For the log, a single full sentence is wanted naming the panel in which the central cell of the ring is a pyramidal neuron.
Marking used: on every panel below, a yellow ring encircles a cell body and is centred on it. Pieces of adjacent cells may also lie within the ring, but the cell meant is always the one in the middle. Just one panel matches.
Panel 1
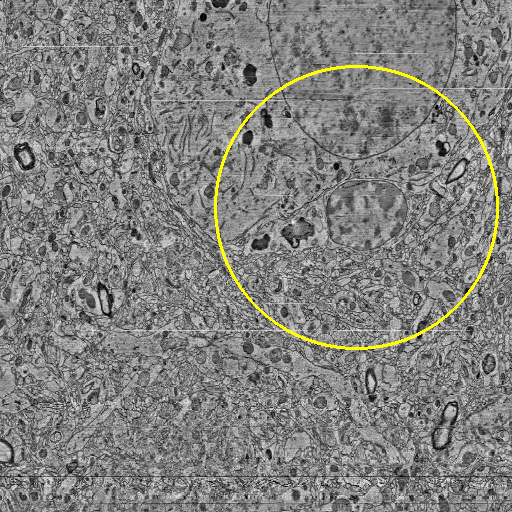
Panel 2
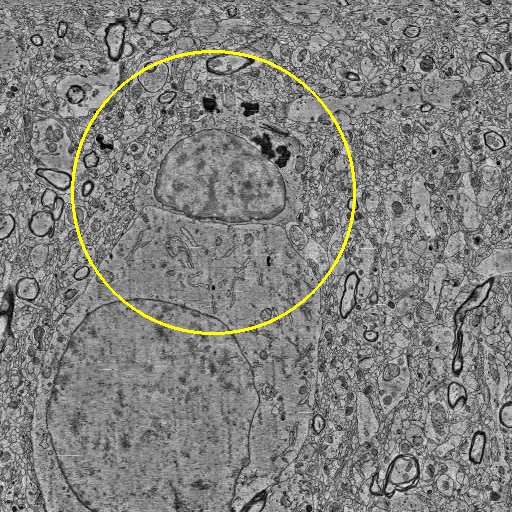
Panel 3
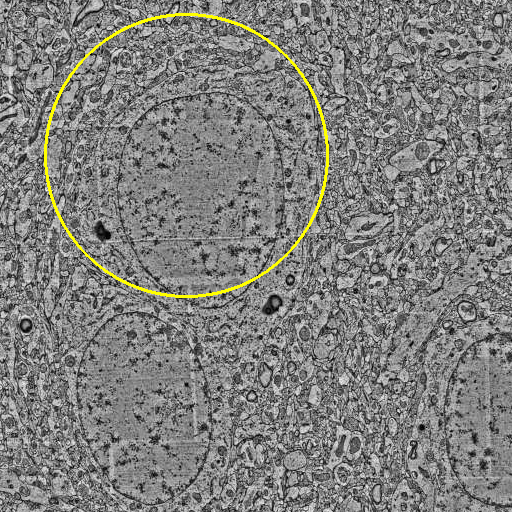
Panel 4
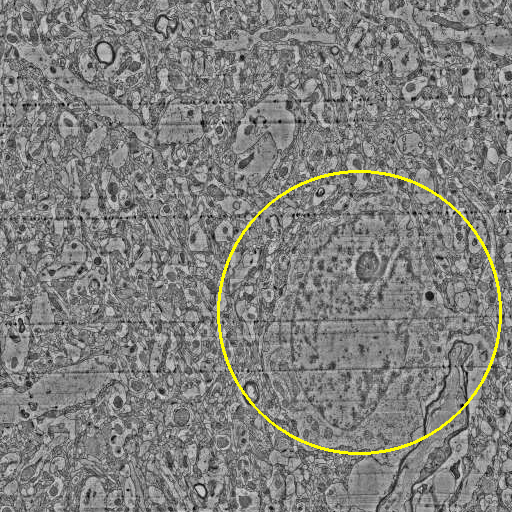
The cell in the middle of the ring in panel 3 is the one asked for.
